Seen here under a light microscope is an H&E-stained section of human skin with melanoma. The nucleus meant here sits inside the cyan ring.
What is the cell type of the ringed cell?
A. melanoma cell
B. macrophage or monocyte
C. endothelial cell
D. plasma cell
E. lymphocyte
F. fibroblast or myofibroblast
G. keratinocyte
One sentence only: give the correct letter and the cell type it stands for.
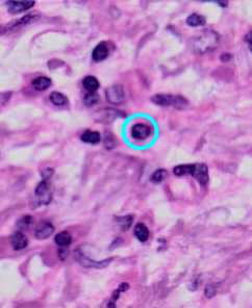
Option D is accurate, for the ringed cell is a plasma cell.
